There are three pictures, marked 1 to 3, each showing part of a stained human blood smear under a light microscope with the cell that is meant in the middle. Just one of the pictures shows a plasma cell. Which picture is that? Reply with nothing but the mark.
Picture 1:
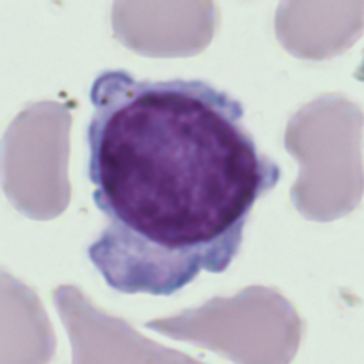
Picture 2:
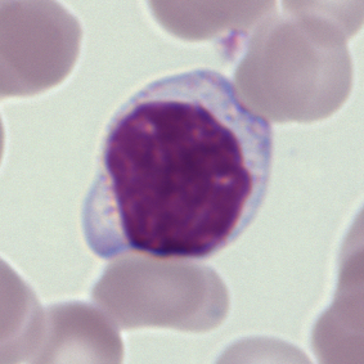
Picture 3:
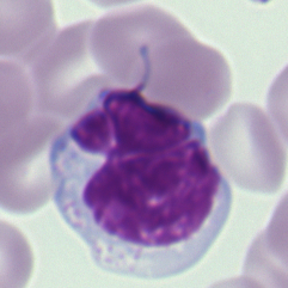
1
